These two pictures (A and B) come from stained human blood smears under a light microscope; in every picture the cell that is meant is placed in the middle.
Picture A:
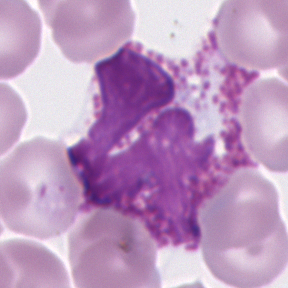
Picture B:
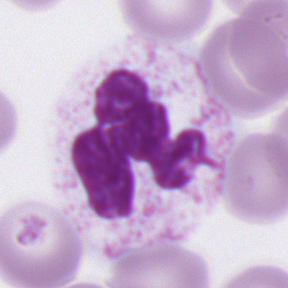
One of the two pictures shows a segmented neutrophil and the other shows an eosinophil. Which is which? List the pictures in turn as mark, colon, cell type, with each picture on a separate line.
A: eosinophil
B: segmented neutrophil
